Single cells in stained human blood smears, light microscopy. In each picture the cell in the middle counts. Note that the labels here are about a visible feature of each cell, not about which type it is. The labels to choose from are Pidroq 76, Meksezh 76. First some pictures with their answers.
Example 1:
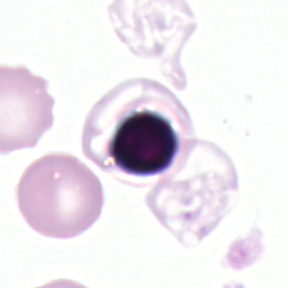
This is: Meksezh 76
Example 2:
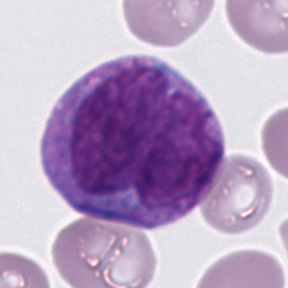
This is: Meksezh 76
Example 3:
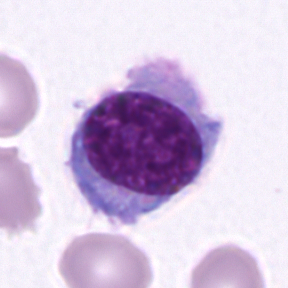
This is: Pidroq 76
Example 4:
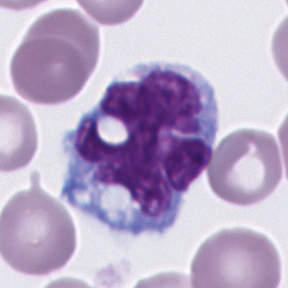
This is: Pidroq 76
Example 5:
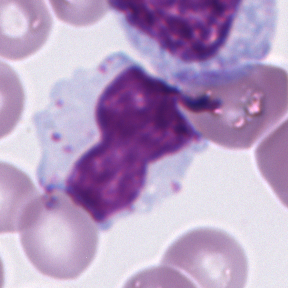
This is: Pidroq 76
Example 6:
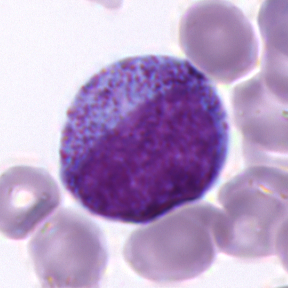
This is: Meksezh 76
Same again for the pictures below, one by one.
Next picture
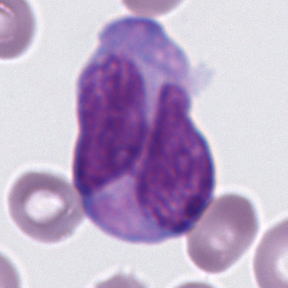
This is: Pidroq 76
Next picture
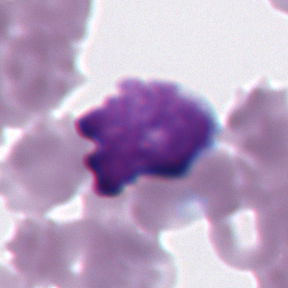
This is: Pidroq 76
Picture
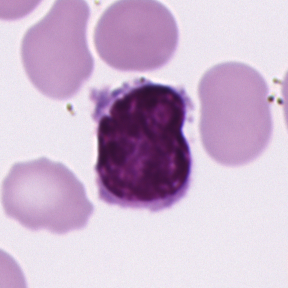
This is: Pidroq 76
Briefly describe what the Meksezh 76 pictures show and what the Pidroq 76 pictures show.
In Meksezh 76: smooth outline. In Pidroq 76: ragged outline or projections.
